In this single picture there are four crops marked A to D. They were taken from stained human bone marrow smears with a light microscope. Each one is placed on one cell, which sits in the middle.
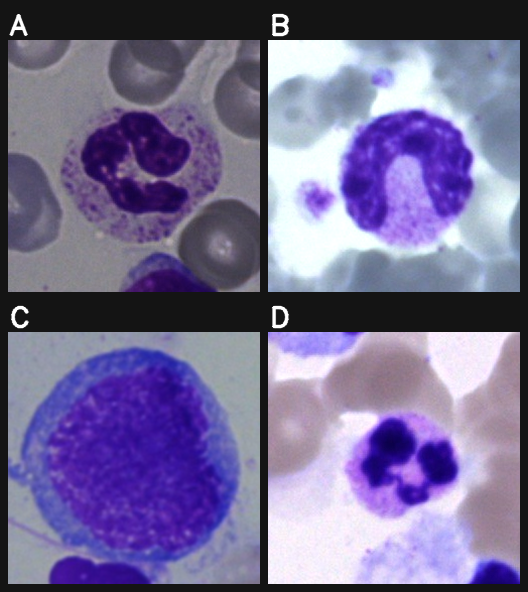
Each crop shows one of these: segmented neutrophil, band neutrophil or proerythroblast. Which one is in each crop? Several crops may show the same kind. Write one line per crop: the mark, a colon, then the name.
A: segmented neutrophil
B: band neutrophil
C: proerythroblast
D: segmented neutrophil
